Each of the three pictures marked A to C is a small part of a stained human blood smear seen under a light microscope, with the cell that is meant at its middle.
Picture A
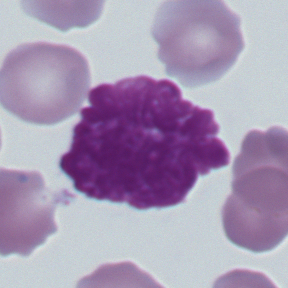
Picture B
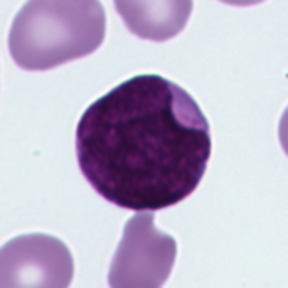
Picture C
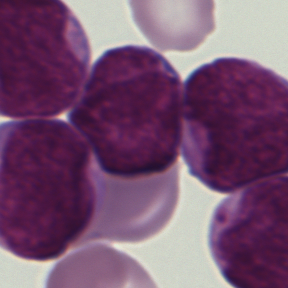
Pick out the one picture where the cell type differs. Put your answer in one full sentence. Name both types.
Picture A is the odd one out: it shows a smudge cell, while the others show myeloblasts.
